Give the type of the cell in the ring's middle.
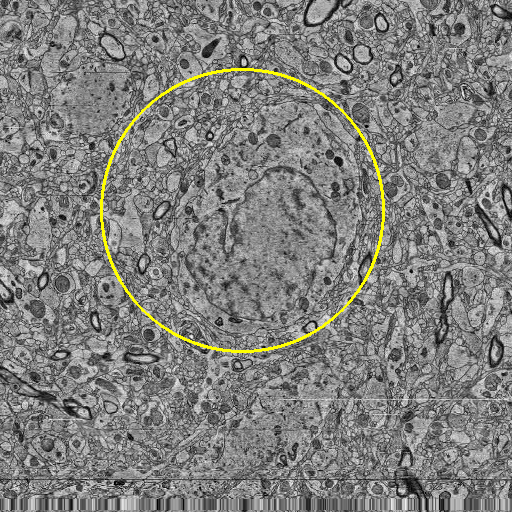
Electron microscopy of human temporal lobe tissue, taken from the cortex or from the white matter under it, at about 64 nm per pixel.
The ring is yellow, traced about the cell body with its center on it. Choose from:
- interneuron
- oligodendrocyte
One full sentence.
Here, an interneuron is the cell lying at the center of the yellow ring.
